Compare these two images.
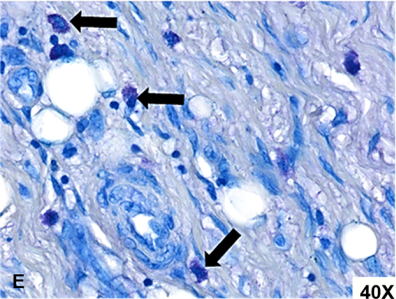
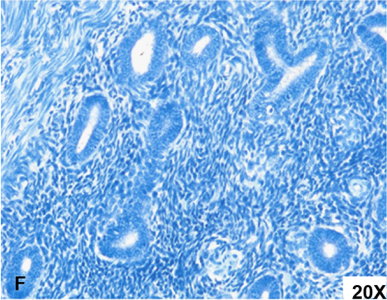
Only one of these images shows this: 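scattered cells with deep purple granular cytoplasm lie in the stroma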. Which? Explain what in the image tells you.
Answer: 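Second image: stroma and glands are evenly blue with no purple granular cells. First image: several cells with dark purple granular cytoplasm stand out in blue fibrous stroma. That points to this answer: the first image.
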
